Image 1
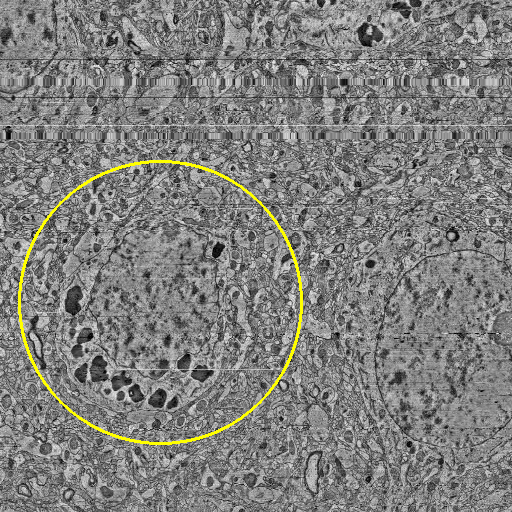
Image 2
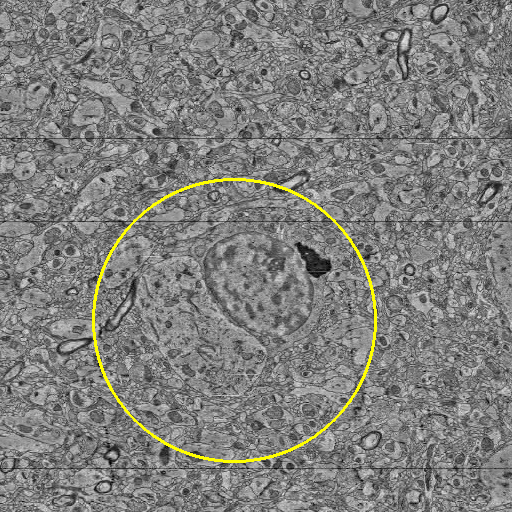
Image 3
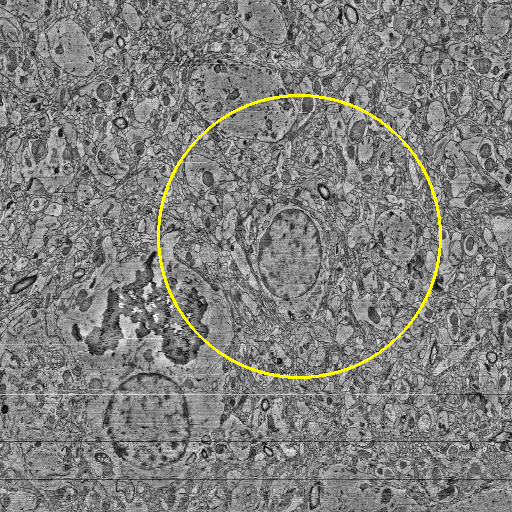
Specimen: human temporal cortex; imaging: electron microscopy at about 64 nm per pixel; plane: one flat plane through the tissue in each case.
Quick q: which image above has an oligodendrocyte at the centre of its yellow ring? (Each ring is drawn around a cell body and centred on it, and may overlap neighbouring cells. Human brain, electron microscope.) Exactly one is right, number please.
2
